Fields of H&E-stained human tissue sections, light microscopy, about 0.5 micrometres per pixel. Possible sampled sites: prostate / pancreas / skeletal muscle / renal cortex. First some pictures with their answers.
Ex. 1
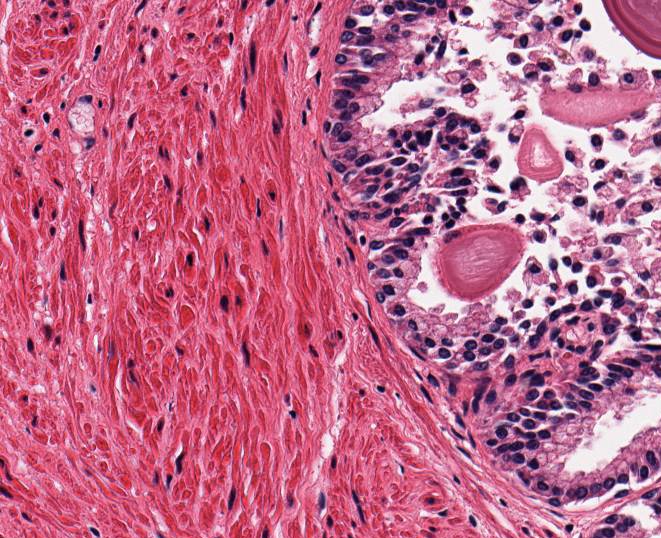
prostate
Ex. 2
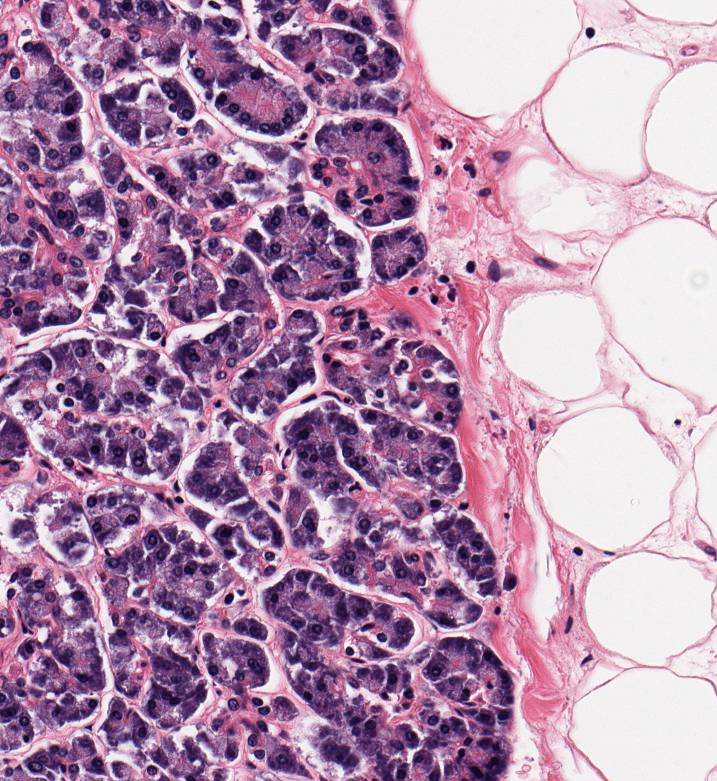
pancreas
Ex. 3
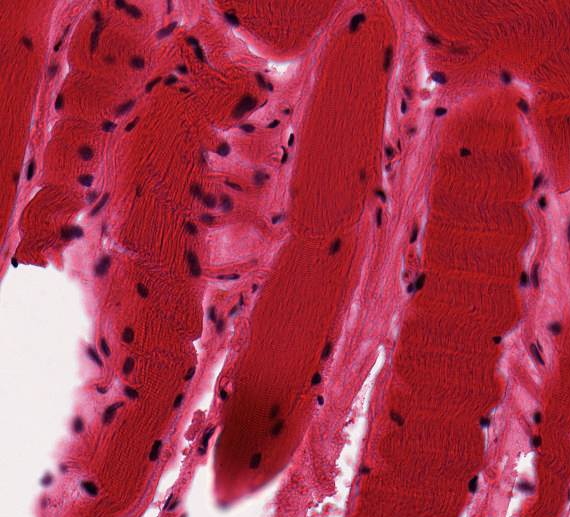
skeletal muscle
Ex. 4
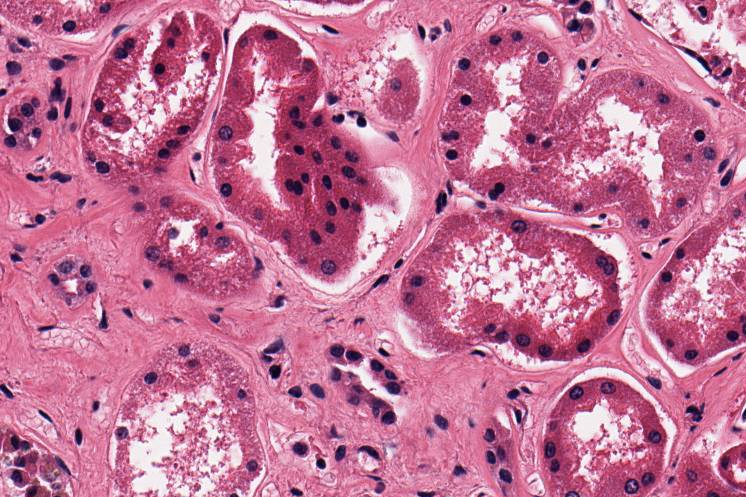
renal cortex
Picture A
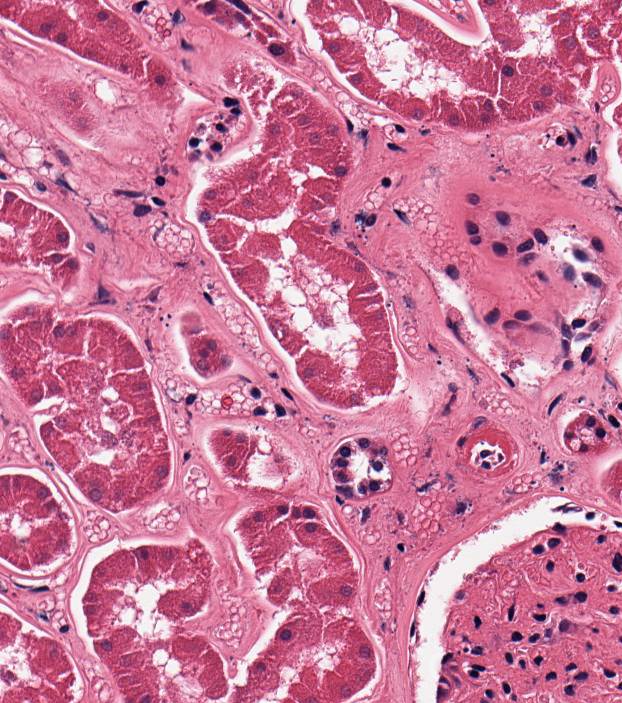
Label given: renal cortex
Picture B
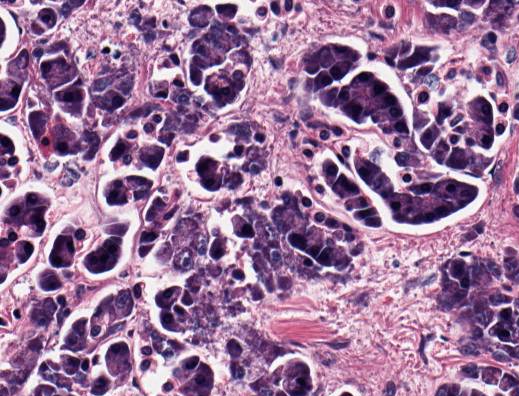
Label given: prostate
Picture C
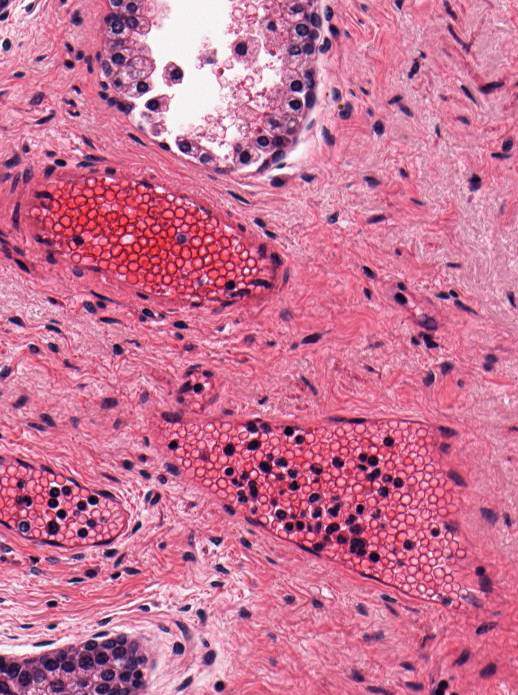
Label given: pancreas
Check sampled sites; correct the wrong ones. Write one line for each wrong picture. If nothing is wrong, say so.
B: pancreas, not prostate
C: prostate, not pancreas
